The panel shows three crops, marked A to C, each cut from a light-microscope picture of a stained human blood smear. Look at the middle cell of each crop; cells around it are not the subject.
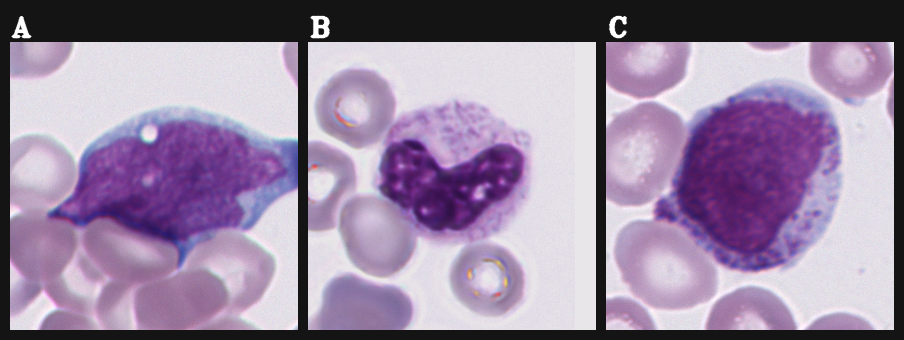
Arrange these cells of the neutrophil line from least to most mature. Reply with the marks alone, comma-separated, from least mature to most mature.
A, C, B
